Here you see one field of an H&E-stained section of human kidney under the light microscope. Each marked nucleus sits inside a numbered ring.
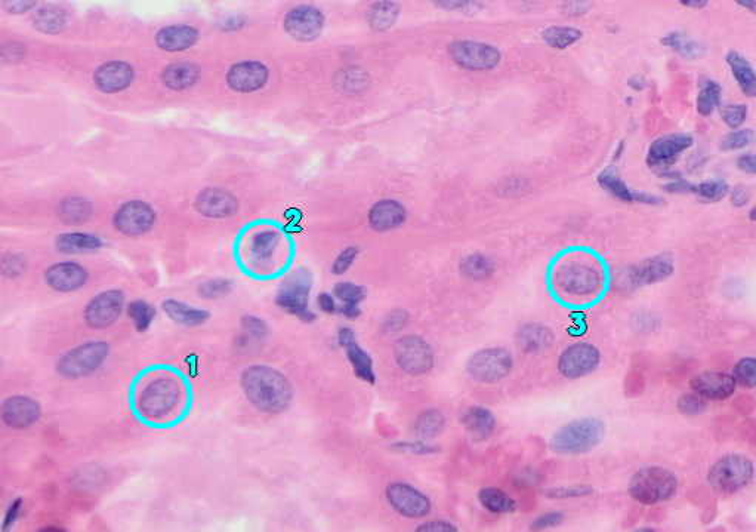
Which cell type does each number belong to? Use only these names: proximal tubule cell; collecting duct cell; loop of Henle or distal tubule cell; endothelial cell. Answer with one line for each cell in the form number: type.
1: proximal tubule cell
2: endothelial cell
3: proximal tubule cell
